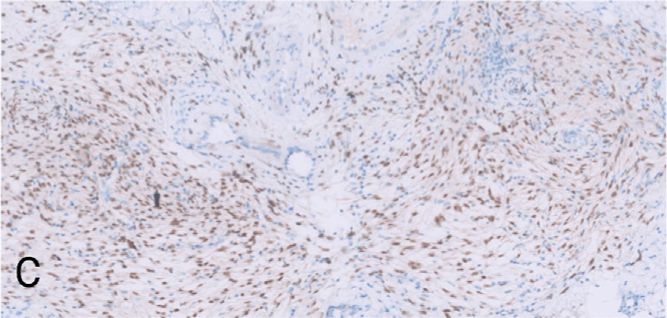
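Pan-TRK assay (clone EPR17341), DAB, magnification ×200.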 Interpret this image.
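Tumor tissue composed of spindle cells shows brown staining of many nuclei against a blue counterstain. The positive nuclei are elongated and aligned in streaming, intersecting bundles. Staining is confined to nuclei, with little brown in the surrounding cytoplasm or stroma. Small vessels with open lumina lie within the tumor, and the cells immediately around them are mostly blue.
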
